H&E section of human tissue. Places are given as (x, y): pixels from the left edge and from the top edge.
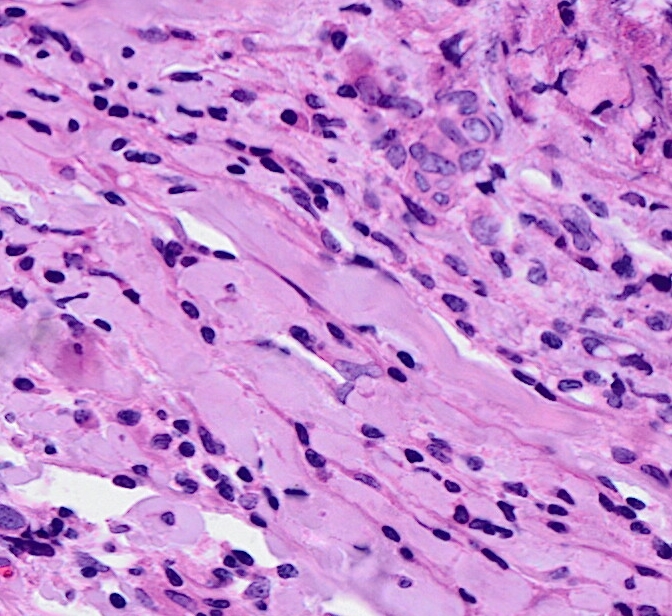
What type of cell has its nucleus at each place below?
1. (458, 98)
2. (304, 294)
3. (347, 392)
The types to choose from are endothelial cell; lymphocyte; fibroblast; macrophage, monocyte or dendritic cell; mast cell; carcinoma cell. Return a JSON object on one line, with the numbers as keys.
{"1": "endothelial cell", "2": "fibroblast", "3": "fibroblast"}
